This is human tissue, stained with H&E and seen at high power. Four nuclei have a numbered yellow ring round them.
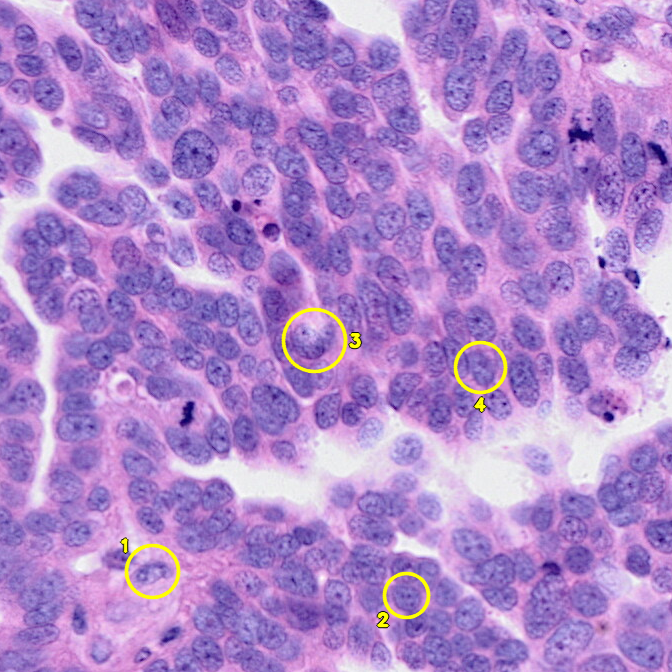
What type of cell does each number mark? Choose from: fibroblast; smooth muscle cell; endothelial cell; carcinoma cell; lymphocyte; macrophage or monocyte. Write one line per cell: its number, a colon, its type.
1: fibroblast
2: carcinoma cell
3: carcinoma cell
4: carcinoma cell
